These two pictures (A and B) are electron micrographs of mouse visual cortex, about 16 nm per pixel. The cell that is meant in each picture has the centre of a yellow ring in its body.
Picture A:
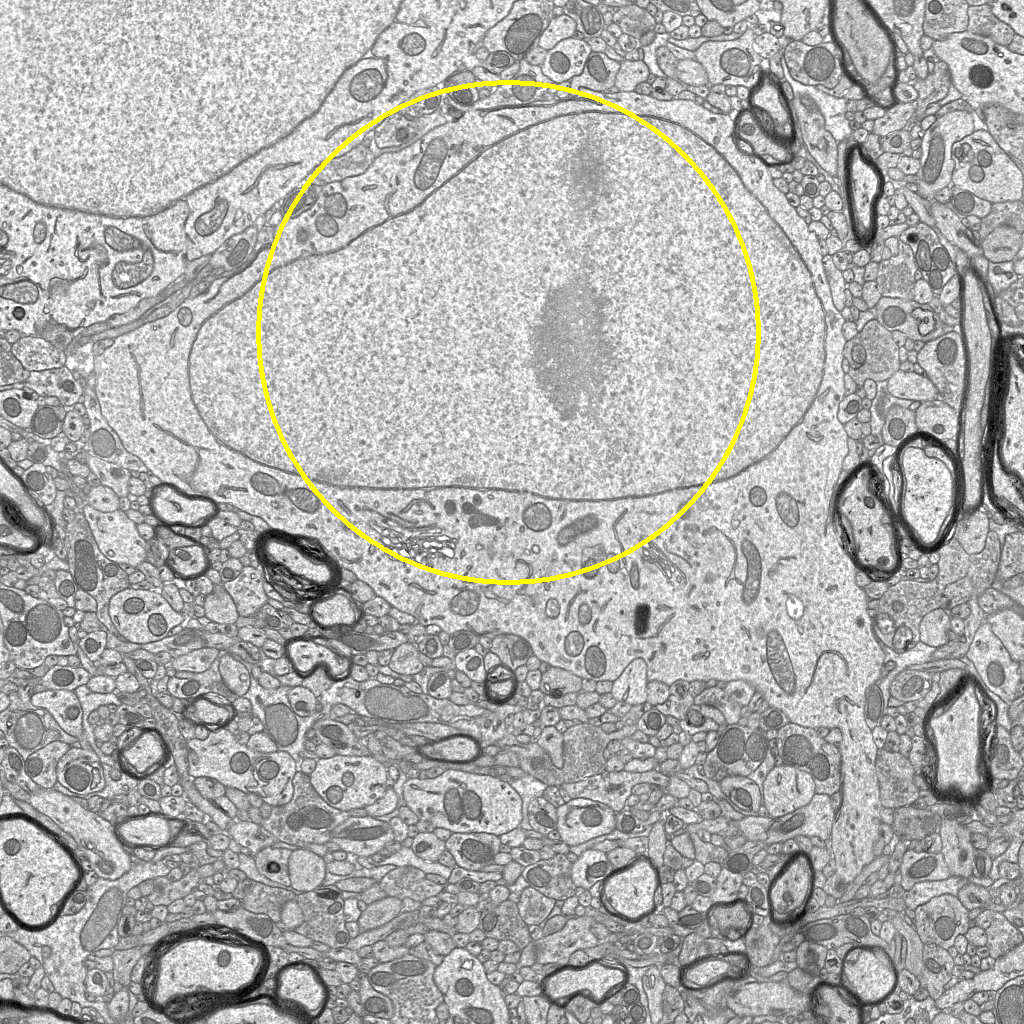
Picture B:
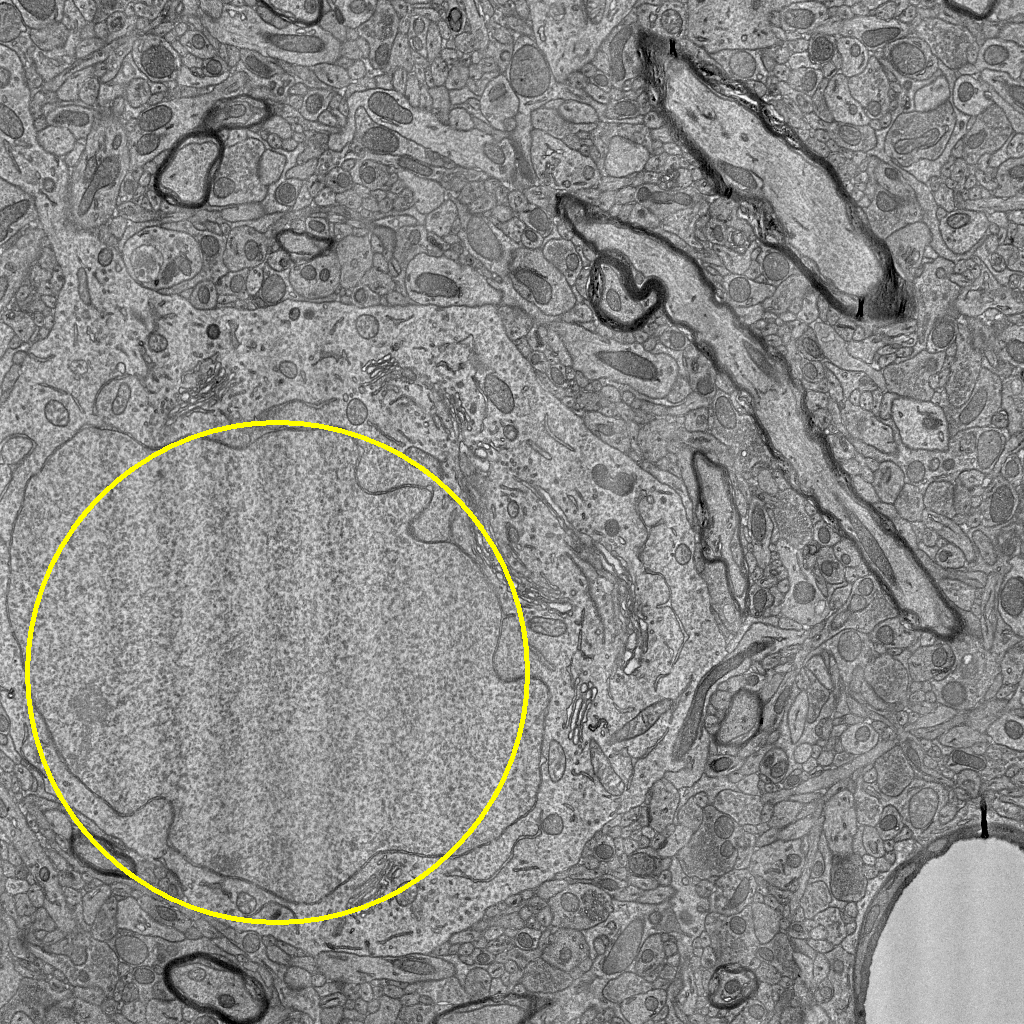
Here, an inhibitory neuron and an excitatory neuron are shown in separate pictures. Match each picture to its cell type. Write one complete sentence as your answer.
Picture A shows an excitatory neuron and picture B shows an inhibitory neuron.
